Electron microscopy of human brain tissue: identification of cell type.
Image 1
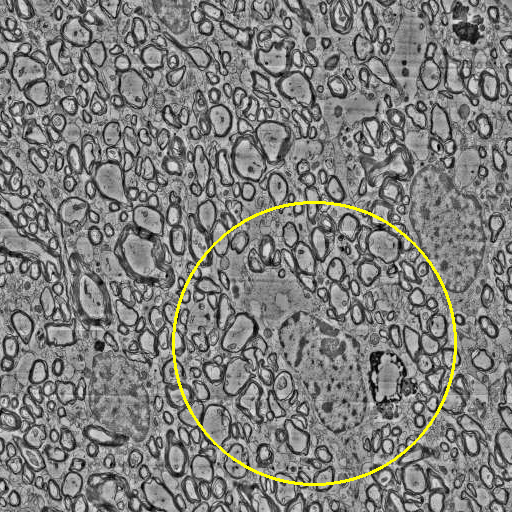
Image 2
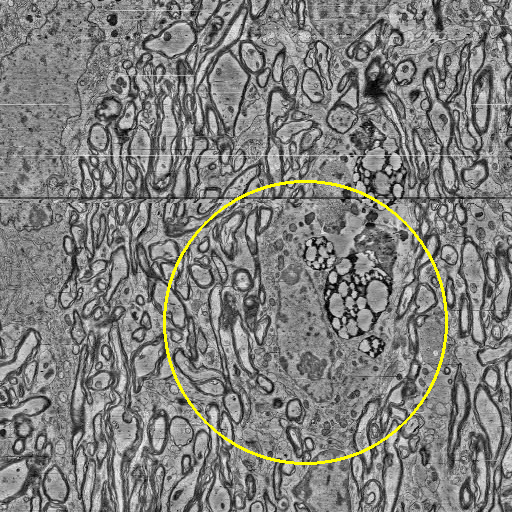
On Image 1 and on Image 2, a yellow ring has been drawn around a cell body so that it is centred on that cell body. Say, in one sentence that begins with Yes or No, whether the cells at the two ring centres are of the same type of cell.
Yes, both cells are the same type of cell.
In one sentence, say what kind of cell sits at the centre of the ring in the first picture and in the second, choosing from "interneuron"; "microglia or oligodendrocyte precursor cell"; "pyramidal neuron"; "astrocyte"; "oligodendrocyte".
Each of the ringed cells, first and second, is an astrocyte.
